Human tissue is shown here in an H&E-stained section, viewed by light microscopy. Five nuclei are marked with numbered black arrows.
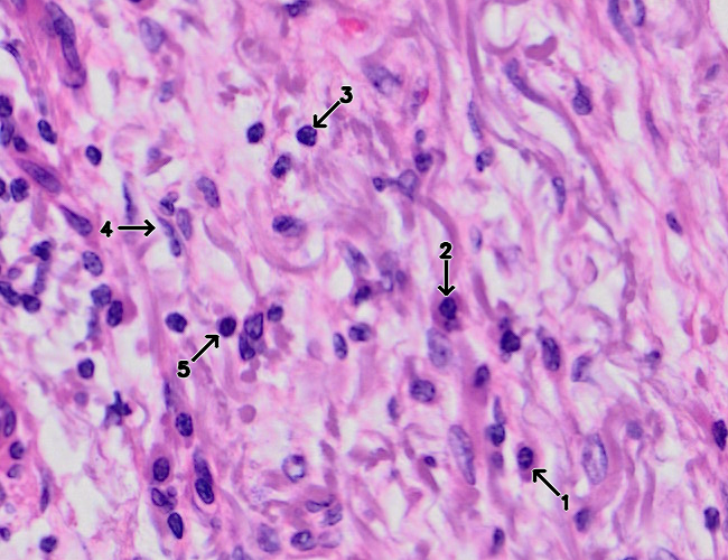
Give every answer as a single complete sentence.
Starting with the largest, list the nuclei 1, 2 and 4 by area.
From largest to smallest, the order is 1, 2, 4.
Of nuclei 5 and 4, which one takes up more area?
Number 5 is larger; its area is about 2.5 times that of number 4.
